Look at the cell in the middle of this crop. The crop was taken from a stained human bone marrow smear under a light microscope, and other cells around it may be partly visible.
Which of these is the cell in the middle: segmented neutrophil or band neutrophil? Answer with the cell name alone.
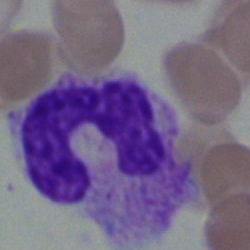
band neutrophil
